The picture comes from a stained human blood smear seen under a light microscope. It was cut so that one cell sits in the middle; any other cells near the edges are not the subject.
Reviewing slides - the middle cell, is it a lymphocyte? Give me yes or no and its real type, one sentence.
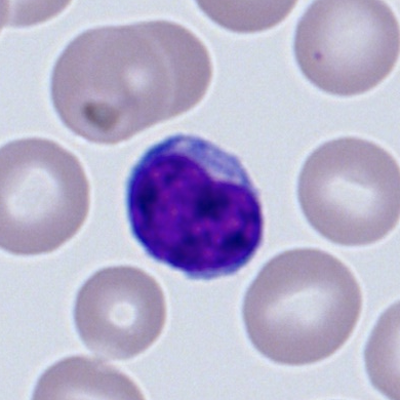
Yes, the centred cell is categorised as a lymphocyte.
